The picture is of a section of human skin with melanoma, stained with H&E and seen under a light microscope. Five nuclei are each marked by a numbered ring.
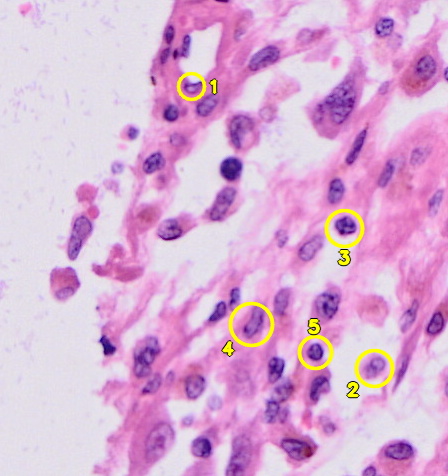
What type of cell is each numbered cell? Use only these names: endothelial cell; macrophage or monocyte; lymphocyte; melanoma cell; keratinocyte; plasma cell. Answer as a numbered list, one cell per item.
1. endothelial cell
2. macrophage or monocyte
3. lymphocyte
4. macrophage or monocyte
5. lymphocyte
